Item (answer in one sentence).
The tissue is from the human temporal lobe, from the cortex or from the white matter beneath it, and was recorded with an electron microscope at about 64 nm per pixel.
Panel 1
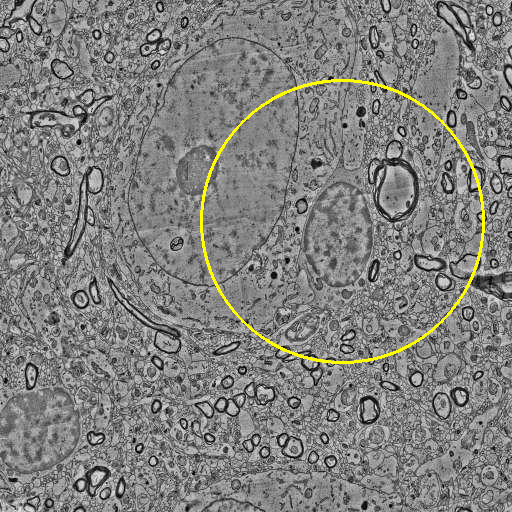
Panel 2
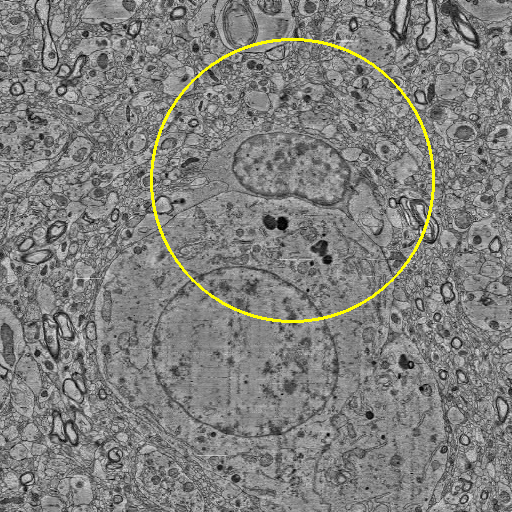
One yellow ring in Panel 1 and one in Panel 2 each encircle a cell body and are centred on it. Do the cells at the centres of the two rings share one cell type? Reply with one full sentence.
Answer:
Yes, Panel 1 and Panel 2 show cells of one type at the centres of their rings.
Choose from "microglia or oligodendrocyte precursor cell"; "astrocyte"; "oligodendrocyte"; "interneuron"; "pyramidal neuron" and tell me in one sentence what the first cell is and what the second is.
Each of the two cells is an oligodendrocyte.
